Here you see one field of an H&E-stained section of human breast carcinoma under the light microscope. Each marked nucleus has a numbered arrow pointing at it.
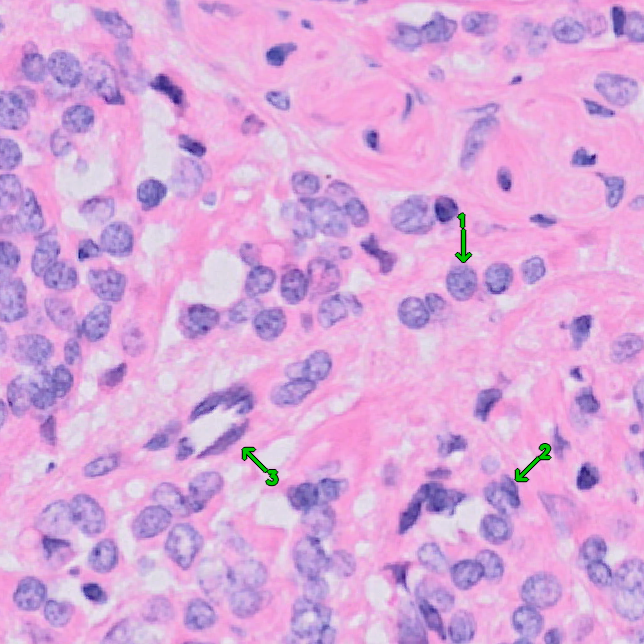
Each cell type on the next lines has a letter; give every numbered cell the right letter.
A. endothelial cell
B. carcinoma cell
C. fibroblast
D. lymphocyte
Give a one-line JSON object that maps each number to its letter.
{"1": "B", "2": "B", "3": "A"}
